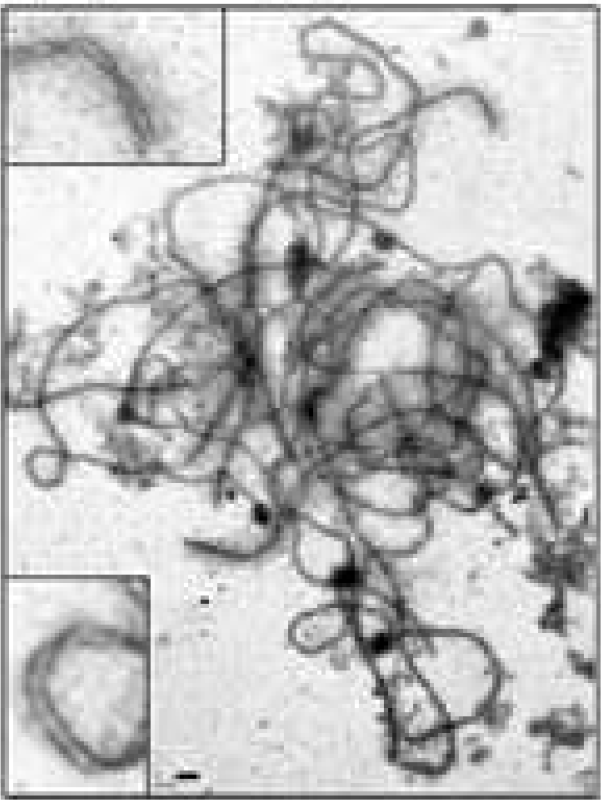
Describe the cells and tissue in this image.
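This is a spread nucleus of a meiocyte seen in the electron microscope, with its chromosomes drawn out as long dark threads that loop and cross over the field. Along their lengths each thread is made of two dense parallel lines with a narrow pale gap between them, the paired axes of synaptonemal complexes, as the enlarged insets show clearly.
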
